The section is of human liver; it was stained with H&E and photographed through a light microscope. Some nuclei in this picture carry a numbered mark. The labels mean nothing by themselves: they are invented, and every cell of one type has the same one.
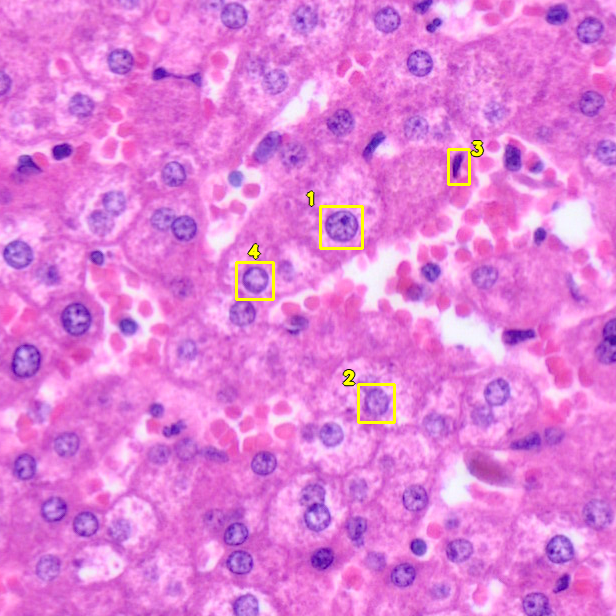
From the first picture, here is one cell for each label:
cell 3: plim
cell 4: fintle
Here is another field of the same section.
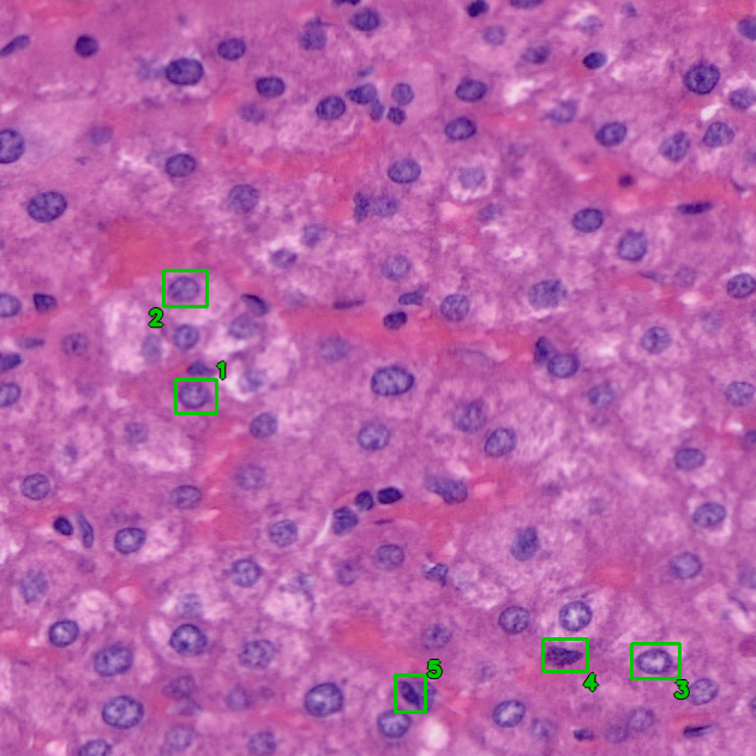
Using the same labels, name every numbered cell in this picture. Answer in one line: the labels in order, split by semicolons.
fintle; fintle; fintle; plim; plim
